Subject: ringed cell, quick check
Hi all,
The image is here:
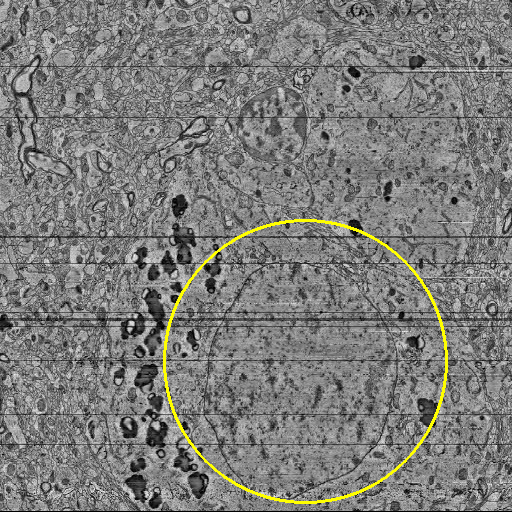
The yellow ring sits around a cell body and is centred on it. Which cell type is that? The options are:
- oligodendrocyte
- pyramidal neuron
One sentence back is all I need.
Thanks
That ringed cell is a pyramidal neuron.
